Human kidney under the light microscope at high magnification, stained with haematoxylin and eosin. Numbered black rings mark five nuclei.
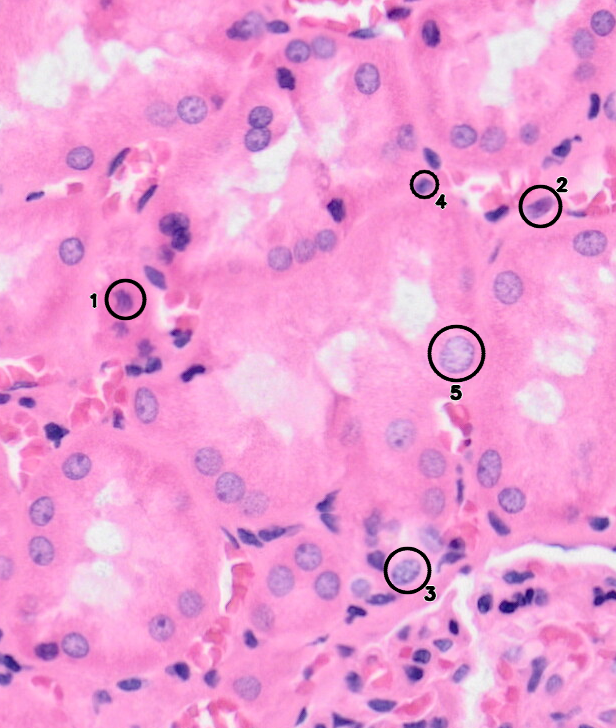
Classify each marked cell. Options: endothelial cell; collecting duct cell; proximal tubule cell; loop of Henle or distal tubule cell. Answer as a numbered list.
1. proximal tubule cell
2. endothelial cell
3. collecting duct cell
4. endothelial cell
5. proximal tubule cell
